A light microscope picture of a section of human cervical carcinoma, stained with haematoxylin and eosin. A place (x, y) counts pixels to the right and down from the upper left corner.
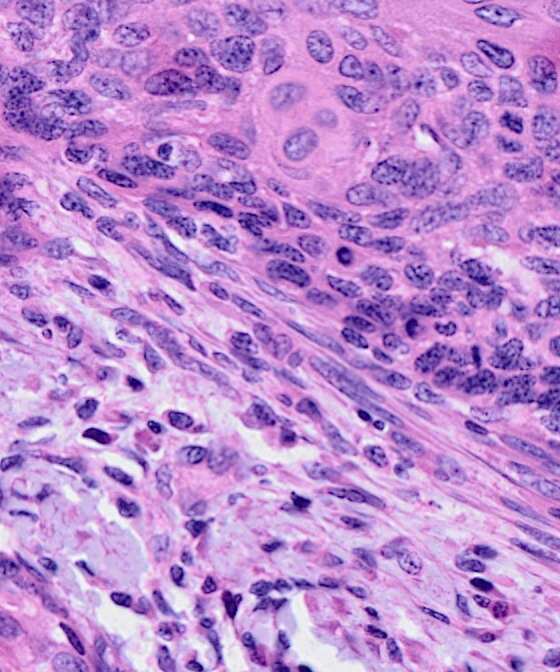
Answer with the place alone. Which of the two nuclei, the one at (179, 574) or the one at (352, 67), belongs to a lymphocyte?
(179, 574)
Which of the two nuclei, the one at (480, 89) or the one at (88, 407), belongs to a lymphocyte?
(88, 407)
